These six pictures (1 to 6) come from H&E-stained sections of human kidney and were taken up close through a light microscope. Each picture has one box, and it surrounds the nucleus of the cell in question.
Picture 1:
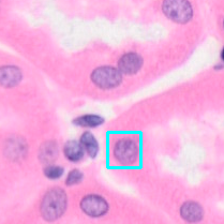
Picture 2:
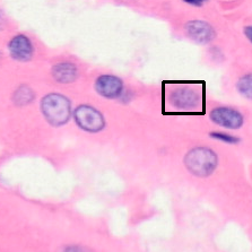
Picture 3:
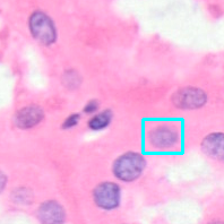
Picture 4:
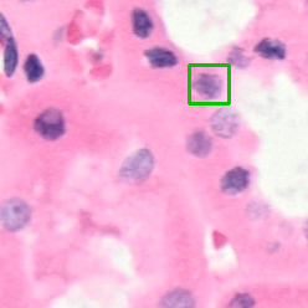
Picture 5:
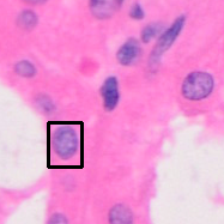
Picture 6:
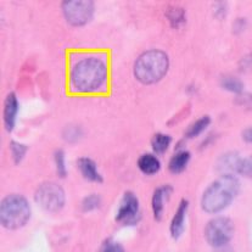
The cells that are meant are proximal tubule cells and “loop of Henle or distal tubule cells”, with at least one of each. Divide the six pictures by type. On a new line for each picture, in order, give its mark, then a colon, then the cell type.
1: proximal tubule cell
2: loop of Henle or distal tubule cell
3: loop of Henle or distal tubule cell
4: loop of Henle or distal tubule cell
5: loop of Henle or distal tubule cell
6: proximal tubule cell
